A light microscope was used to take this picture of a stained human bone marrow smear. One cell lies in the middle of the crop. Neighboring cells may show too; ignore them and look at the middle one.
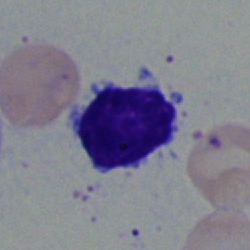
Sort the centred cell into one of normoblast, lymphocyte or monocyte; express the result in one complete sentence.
The central cell in this smear crop is a lymphocyte.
